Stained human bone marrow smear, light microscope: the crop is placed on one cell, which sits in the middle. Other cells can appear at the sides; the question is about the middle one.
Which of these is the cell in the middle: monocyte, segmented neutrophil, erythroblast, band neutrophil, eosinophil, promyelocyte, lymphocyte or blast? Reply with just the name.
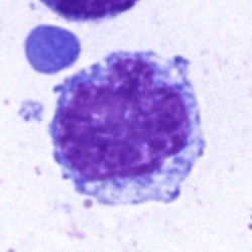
monocyte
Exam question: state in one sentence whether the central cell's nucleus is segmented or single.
In this cell the nucleus is a solitary compact mass, round, oval or kidney-shaped.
